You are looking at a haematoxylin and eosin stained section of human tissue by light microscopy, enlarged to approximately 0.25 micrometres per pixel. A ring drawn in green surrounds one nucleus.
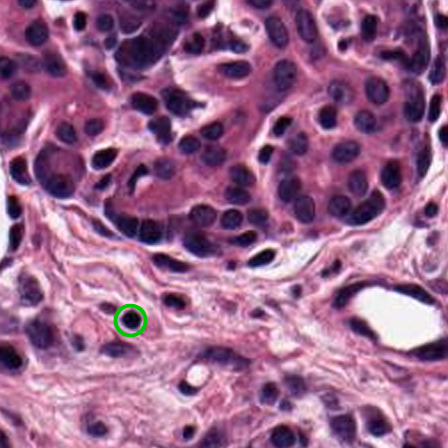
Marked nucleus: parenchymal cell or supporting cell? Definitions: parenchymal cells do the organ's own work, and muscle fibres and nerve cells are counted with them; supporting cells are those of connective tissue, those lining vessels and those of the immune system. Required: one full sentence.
The marked nucleus is the nucleus belonging to a supporting cell.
